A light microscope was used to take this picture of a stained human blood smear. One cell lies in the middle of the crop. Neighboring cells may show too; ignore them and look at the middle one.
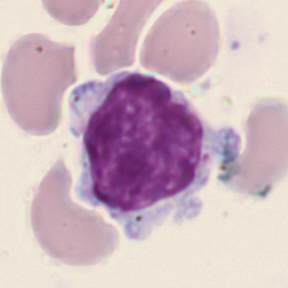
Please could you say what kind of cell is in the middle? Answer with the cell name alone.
plasma cell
